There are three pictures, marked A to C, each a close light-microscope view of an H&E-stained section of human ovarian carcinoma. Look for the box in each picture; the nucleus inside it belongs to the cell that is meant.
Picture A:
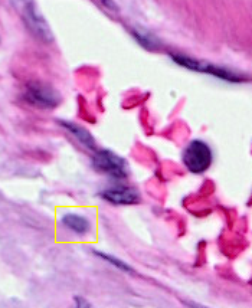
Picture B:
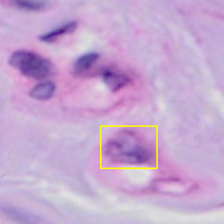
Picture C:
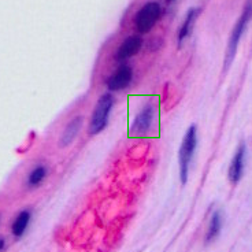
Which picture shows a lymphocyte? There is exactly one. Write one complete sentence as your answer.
The cell in picture A is the lymphocyte.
